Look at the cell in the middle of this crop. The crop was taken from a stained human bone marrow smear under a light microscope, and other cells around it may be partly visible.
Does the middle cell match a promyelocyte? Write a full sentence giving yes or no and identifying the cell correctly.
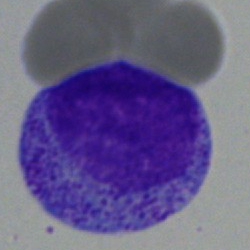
Yes, the cell in the center of the field is a promyelocyte.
